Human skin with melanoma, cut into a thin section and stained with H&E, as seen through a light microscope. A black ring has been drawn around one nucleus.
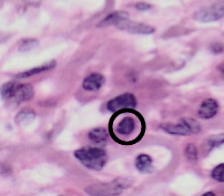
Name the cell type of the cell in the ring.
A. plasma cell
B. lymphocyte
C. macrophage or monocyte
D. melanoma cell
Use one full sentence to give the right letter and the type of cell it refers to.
Option A is the correct one: the cell in the ring is a plasma cell.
